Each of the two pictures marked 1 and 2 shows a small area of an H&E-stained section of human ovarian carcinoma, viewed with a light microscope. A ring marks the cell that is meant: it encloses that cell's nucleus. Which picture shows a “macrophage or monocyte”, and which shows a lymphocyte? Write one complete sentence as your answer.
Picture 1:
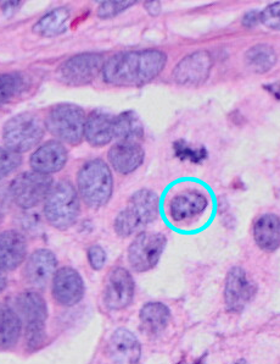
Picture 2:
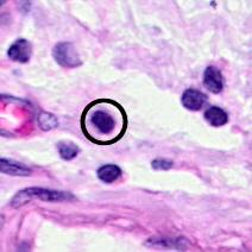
In picture 1 the cell is a “macrophage or monocyte”; in picture 2, a lymphocyte.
